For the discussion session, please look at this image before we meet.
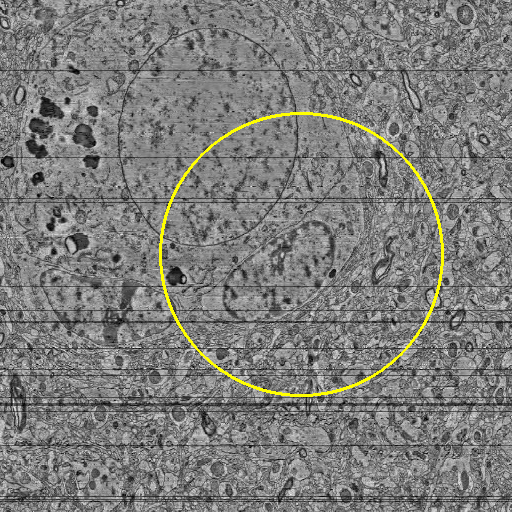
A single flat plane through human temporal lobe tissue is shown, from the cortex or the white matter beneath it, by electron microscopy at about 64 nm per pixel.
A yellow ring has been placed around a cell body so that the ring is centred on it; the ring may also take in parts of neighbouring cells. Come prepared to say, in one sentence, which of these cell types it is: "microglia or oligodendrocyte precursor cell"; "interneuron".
The cell centred in the ring is a microglial cell or oligodendrocyte precursor cell.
